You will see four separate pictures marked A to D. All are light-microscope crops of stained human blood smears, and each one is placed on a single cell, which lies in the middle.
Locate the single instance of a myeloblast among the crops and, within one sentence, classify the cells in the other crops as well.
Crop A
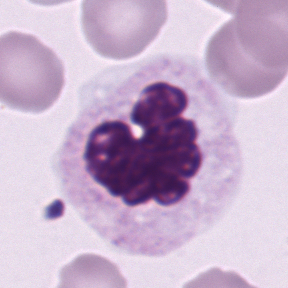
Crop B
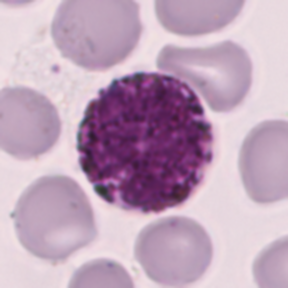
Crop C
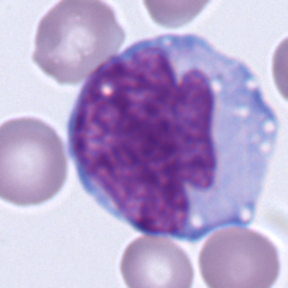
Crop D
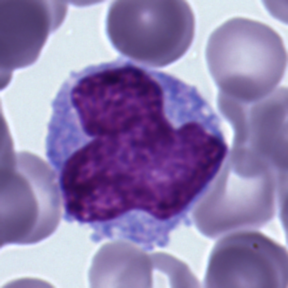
So crop C shows a myeloblast, while crop A is a segmented neutrophil, crop B is a basophil and crop D is a monocyte.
